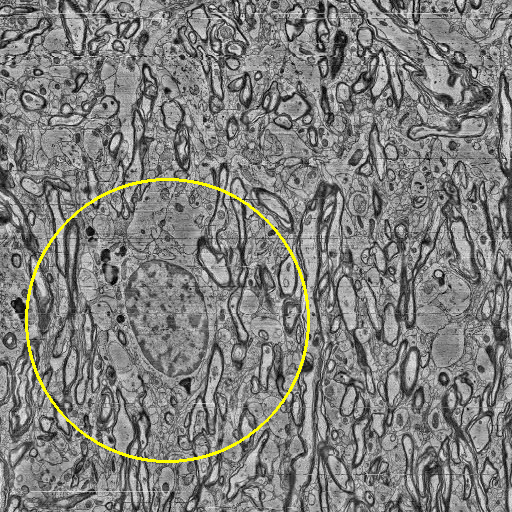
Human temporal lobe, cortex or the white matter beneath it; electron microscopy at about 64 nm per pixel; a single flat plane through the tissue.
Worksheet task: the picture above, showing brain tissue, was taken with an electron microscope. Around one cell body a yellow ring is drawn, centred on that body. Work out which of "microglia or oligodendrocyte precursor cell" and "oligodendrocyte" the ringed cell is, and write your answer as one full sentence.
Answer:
It is a microglial cell or oligodendrocyte precursor cell whose cell body lies at the centre of the yellow ring.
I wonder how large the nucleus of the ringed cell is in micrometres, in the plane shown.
In this plane, approximately 8 by 5 micrometers, and clearly longer than it is wide.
